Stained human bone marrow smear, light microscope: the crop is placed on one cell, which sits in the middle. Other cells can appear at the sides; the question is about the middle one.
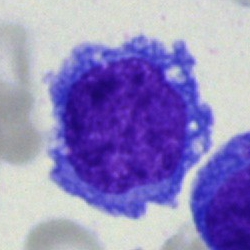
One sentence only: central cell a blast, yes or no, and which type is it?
Yes, the central cell here is a blast.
